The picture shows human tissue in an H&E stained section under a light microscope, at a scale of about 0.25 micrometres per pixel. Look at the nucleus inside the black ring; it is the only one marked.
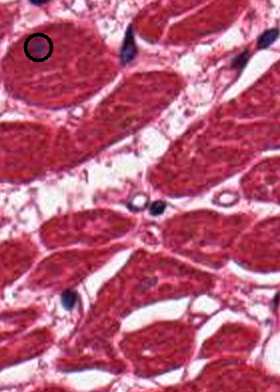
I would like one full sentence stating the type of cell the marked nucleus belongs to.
To a cardiomyocyte belongs the marked nucleus.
